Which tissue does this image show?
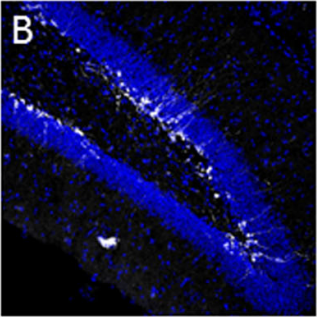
dentate gyrus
